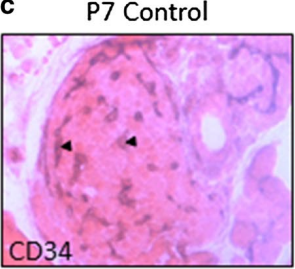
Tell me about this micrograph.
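This is a pancreatic islet, a rounded cluster of pale pink endocrine cells set off from the surrounding tissue by a thin pale rim of connective tissue. Running through the islet is a network of thin, dark-stained, branching strands, which are the small vessels lined by endothelial cells. The arrowheads point to some of these dark strands threading between the islet cells.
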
